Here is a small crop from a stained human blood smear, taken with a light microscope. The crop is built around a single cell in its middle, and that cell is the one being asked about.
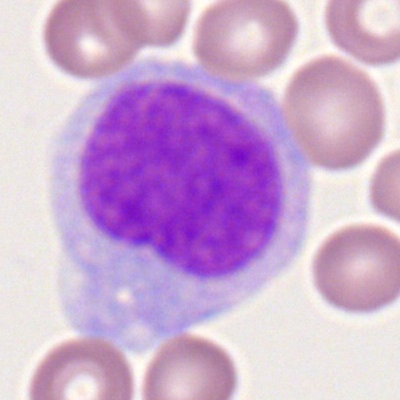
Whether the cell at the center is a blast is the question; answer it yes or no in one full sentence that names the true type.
Yes, the cell in the center of this crop is a blast.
